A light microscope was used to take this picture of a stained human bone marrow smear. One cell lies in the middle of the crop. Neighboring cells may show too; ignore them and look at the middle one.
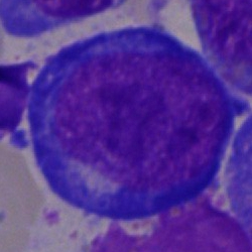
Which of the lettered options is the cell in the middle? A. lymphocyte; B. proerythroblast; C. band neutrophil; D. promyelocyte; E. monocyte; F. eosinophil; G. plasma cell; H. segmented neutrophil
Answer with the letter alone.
B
